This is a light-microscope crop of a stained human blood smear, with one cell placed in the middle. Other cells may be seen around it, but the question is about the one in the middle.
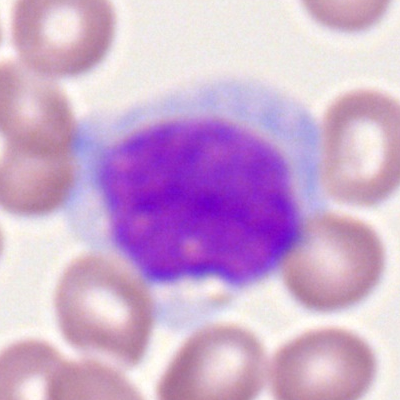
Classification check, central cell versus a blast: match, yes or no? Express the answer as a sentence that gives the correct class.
No, the central cell in this crop is a monocyte and not a blast.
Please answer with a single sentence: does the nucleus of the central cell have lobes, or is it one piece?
The nucleus amounts to one compact mass with a round, oval or kidney-shaped outline.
